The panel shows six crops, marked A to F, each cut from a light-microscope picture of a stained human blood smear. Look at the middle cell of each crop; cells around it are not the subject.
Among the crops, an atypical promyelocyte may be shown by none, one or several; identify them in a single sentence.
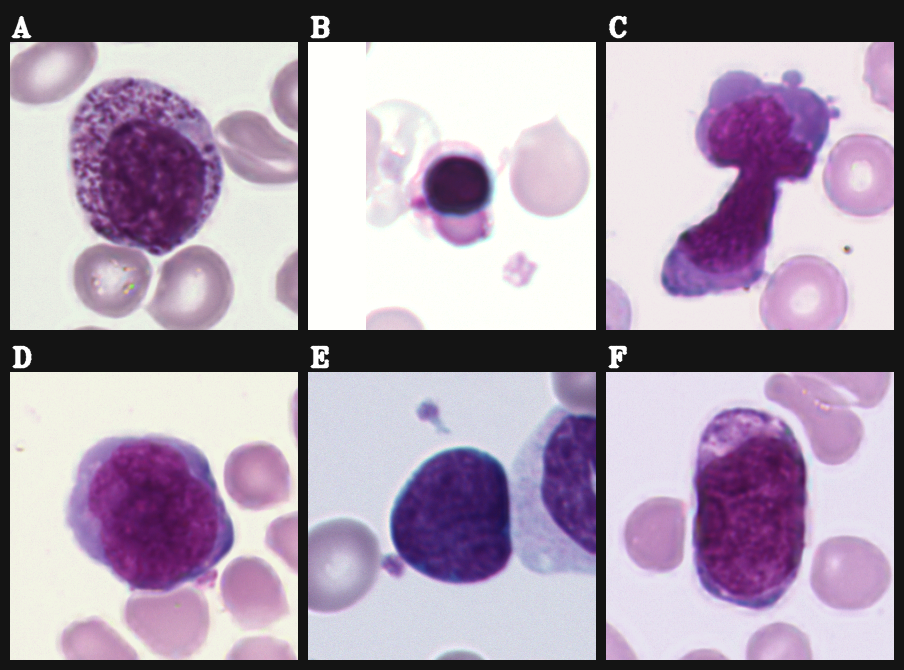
In this series, atypical promyelocytes are shown by crops C, D and F.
